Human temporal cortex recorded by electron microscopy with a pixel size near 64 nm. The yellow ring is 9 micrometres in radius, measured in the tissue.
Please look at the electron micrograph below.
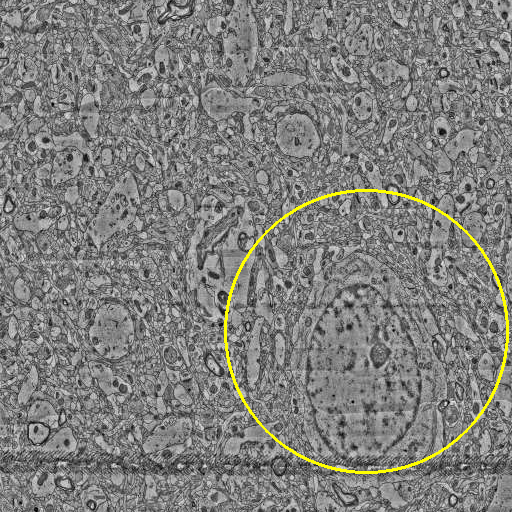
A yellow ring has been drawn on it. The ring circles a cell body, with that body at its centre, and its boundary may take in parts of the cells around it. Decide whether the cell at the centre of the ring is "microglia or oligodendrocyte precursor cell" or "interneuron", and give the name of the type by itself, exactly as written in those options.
interneuron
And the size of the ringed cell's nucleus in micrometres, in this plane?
The nucleus is approximately 11 micrometres long but only about 7 wide, clearly longer than it is wide in this plane.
